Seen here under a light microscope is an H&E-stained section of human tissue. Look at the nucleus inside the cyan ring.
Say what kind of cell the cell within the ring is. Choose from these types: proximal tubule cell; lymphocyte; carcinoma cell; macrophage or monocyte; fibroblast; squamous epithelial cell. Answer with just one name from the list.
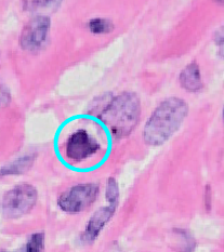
carcinoma cell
